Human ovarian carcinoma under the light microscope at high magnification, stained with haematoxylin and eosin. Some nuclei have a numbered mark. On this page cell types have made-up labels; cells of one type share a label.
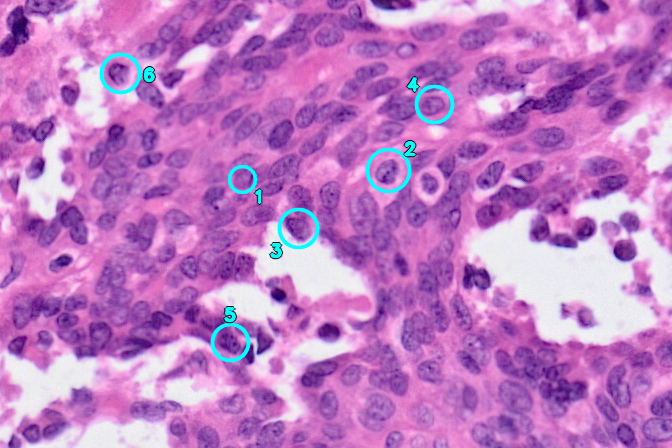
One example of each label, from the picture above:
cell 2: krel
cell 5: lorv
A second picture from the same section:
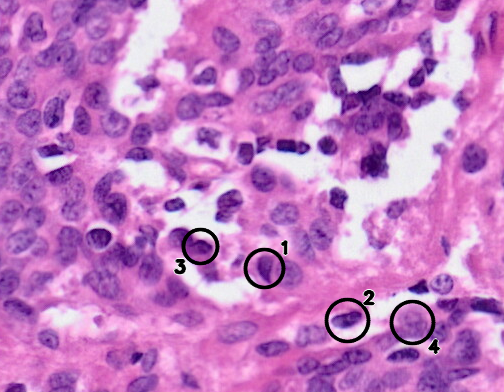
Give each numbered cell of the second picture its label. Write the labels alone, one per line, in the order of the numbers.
lorv
krel
lorv
lorv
